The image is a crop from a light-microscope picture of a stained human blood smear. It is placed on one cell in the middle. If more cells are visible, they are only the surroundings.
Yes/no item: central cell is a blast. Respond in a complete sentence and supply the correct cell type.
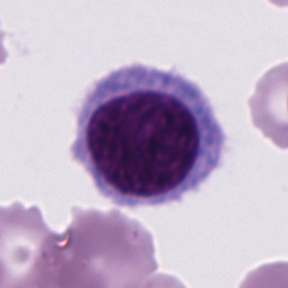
No, not a blast here; the centered cell is a hairy cell.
